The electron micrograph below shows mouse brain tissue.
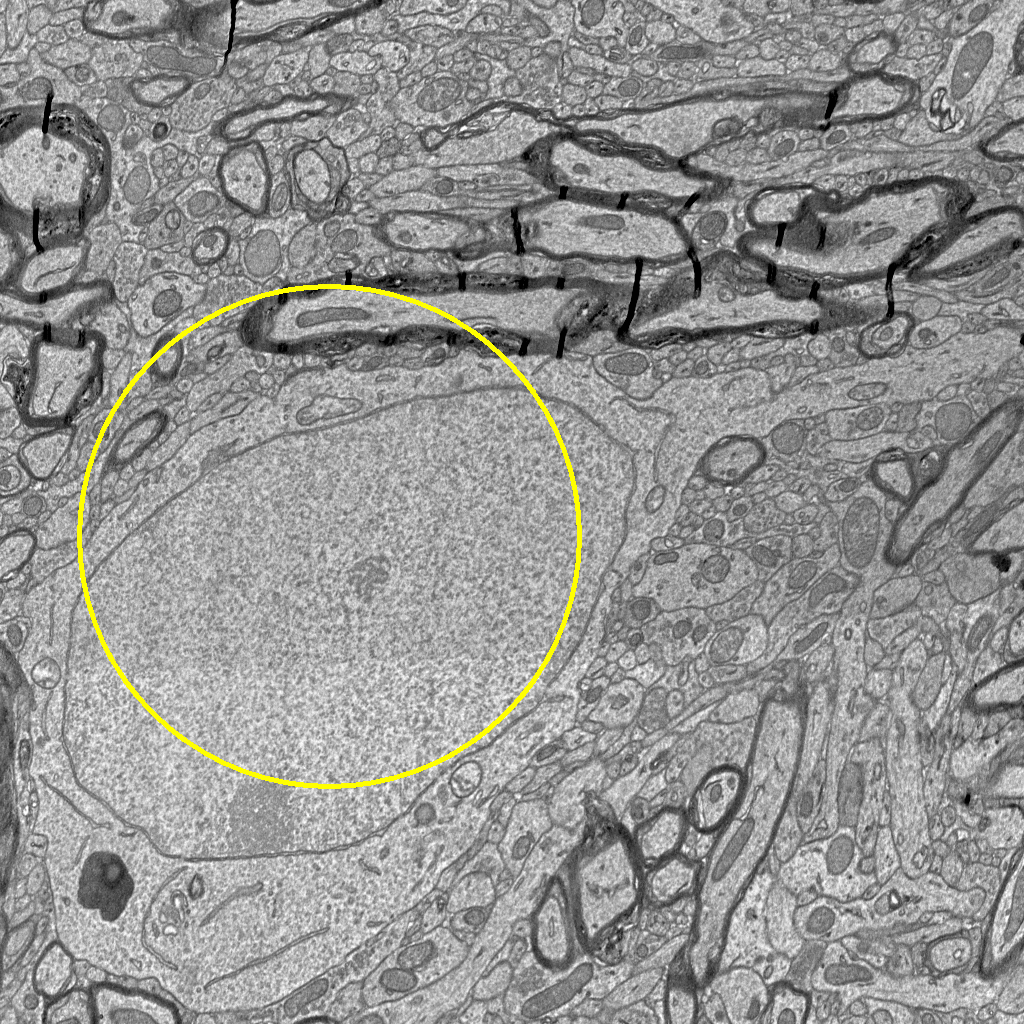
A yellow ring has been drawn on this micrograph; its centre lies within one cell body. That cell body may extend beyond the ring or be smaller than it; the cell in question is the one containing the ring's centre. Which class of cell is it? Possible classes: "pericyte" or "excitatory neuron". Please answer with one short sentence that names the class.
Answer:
In the centre of the ring sits an excitatory neuron.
